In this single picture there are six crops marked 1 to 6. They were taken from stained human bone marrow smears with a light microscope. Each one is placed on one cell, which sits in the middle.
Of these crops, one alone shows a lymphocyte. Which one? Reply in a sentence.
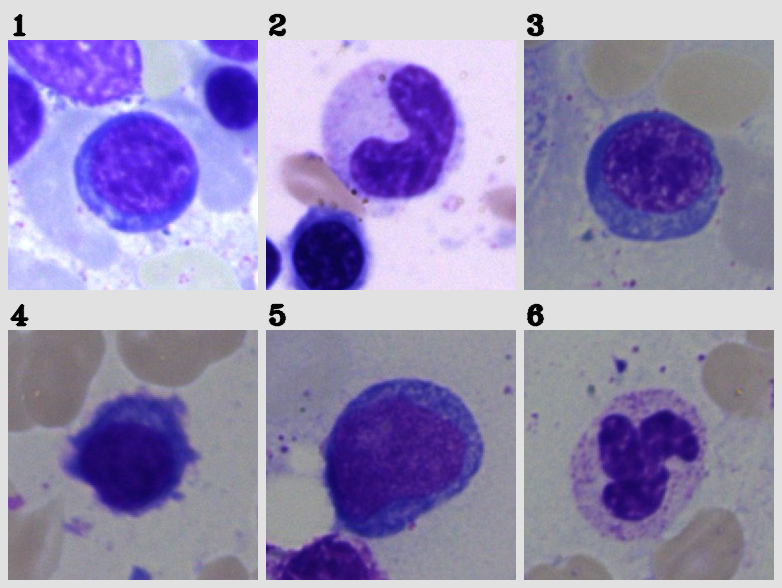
When the crops are compared, crop 1 is the one showing a lymphocyte.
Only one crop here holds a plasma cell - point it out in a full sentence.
The requested cell, a plasma cell, is the one in crop 4.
